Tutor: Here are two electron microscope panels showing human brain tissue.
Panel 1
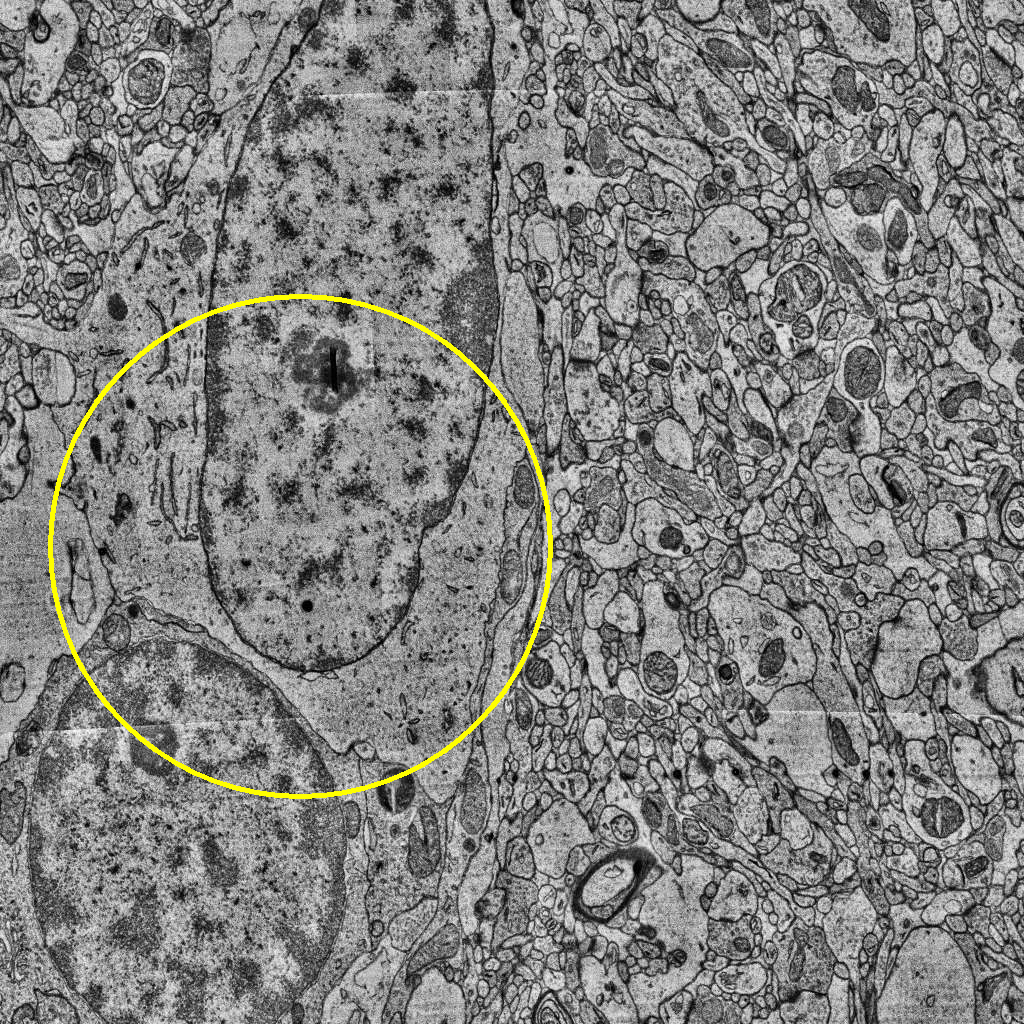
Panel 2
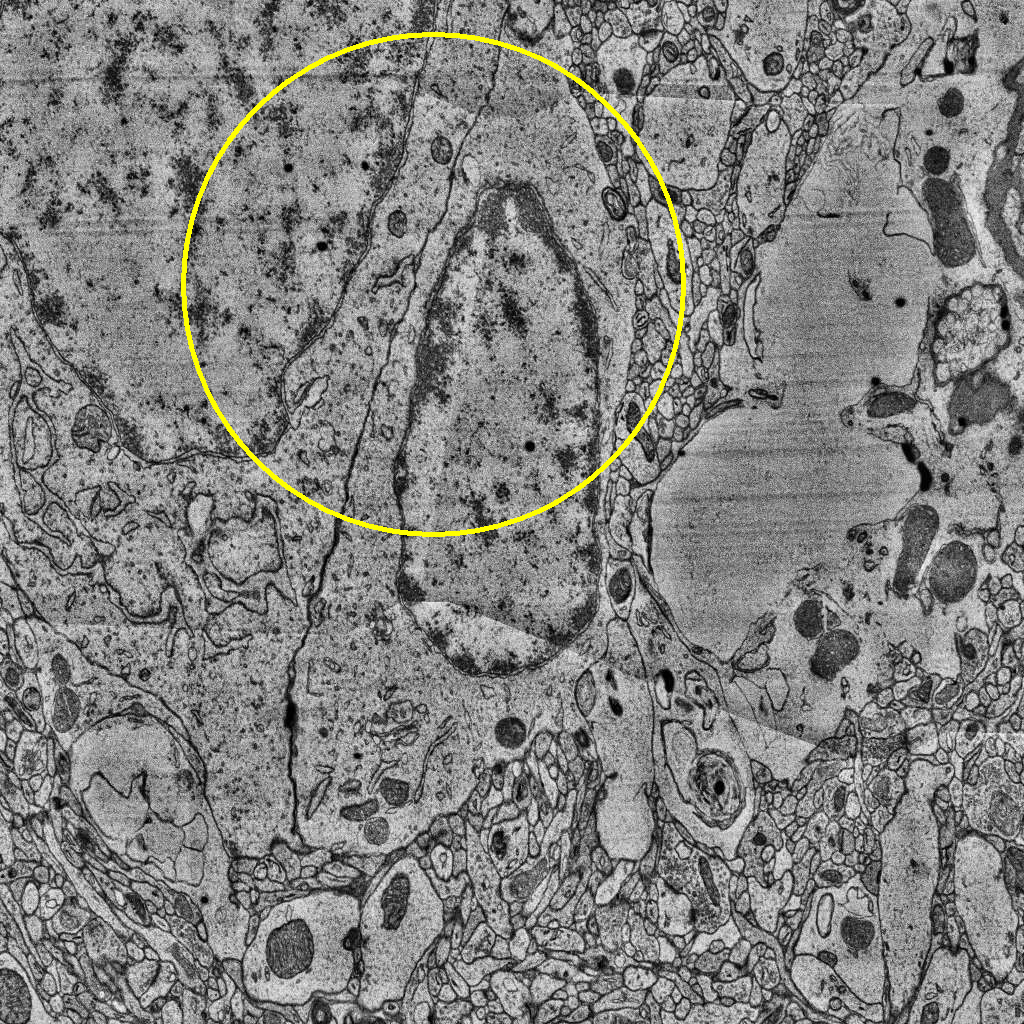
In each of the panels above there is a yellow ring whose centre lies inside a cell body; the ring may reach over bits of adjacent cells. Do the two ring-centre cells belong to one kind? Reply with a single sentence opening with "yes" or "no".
Yes, the two cells lying at the ring centres in the panels belong to one kind.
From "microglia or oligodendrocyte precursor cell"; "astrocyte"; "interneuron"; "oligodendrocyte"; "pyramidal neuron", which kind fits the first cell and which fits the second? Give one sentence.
The cell at the ring centre is a microglial cell or oligodendrocyte precursor cell in both pictures.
